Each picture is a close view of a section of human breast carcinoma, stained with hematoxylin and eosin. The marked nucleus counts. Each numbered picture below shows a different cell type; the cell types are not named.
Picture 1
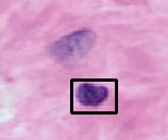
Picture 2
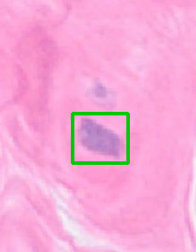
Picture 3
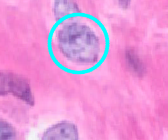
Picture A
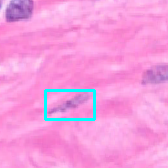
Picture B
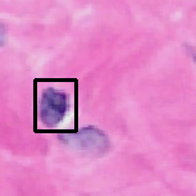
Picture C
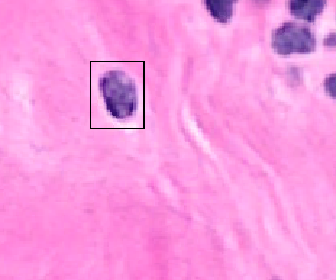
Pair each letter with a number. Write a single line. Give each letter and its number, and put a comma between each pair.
A 2, B 1, C 1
